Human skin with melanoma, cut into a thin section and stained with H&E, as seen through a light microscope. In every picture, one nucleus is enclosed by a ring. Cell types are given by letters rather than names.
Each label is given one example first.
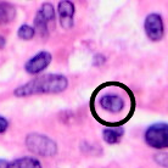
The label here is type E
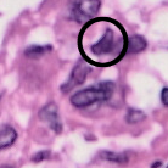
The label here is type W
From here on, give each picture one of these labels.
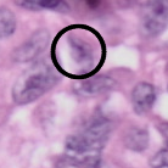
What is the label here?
type W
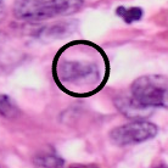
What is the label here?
type W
